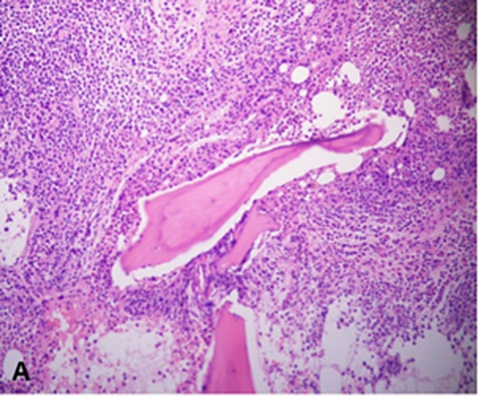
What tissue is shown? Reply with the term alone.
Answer: Bone marrow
